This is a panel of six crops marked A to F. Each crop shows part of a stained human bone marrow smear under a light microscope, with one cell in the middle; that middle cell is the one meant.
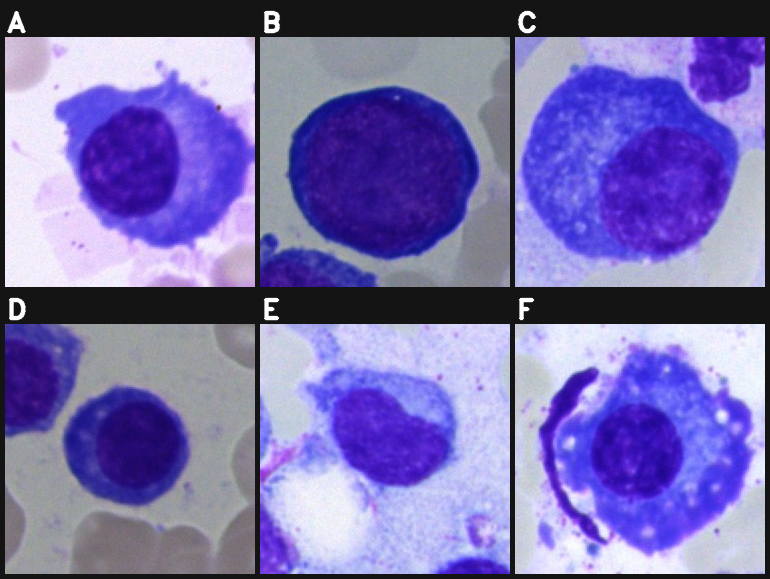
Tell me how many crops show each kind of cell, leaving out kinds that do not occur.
plasma cell: 4
proerythroblast: 1
hairy cell: 1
